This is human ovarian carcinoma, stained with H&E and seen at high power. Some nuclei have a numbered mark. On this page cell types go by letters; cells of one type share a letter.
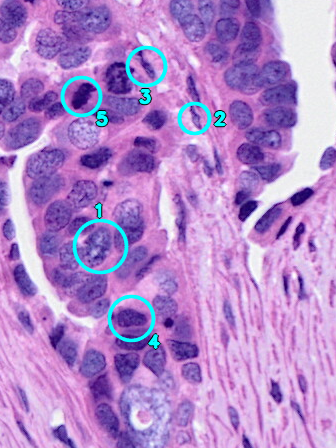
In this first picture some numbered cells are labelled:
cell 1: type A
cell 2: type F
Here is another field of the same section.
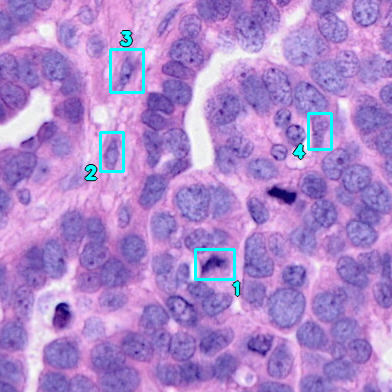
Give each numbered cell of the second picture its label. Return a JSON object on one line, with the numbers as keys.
{"1": "type A", "2": "type F", "3": "type F", "4": "type A"}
